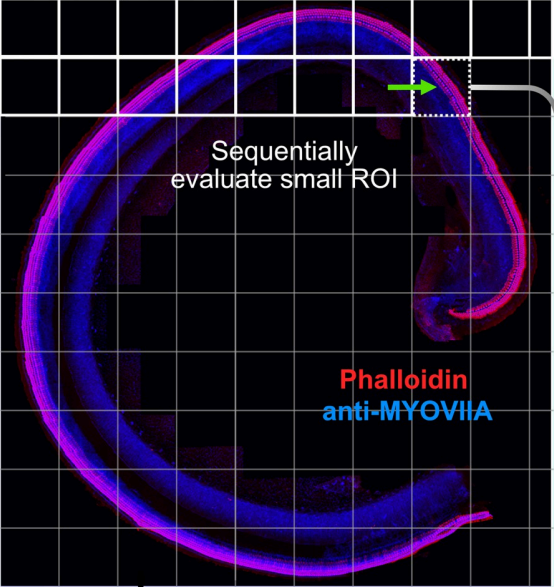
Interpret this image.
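This is a whole cochlea, spread flat as one continuous piece of tissue and seen at low power. It forms a long ribbon that sweeps around in a spiral. At one end the ribbon curls tightly into a small hook. Along the outer edge of the whole coil runs a narrow band where red and blue overlap, so it looks magenta. This band holds the rows of sensory hair cells, too small to pick out one by one at this scale. Inside the band lies a broader, paler blue strip of tissue.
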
